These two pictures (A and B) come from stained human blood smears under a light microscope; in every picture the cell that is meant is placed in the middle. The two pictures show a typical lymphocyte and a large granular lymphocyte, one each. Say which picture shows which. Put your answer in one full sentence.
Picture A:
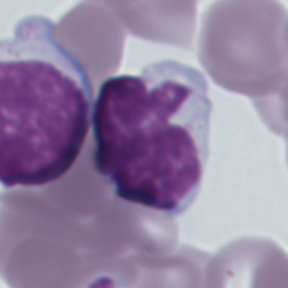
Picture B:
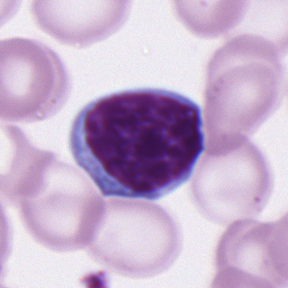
In picture A the cell is a large granular lymphocyte; in picture B, a typical lymphocyte.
